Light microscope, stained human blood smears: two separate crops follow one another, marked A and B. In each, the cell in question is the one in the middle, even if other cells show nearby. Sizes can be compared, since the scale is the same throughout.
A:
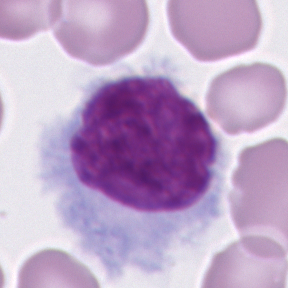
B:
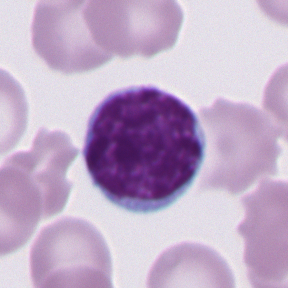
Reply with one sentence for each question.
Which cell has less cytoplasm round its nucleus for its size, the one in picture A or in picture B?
The nucleus fills more of the cell in picture B than in picture A.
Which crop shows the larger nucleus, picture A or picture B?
Picture A shows the larger nucleus; it covers about 1.5 times the area of the nucleus in picture B.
